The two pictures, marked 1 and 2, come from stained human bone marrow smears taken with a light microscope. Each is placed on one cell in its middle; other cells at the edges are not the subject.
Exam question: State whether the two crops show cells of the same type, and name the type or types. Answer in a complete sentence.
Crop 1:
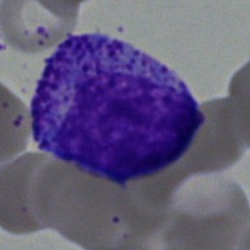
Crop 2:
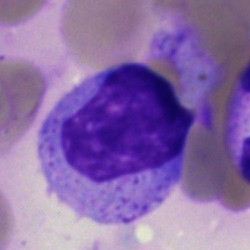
Yes, the central cells in both of the crops are myelocytes.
